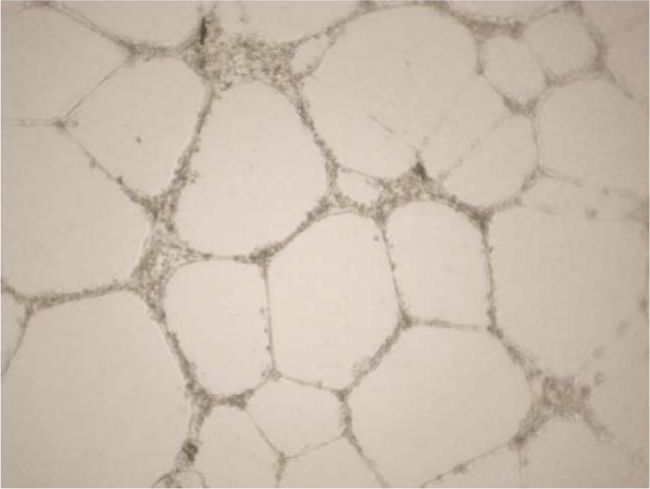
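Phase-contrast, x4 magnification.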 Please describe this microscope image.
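The cords branch and join to enclose large, cell-free polygonal spaces of varying size. Where several cords meet, cells gather into denser, more irregular clusters.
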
